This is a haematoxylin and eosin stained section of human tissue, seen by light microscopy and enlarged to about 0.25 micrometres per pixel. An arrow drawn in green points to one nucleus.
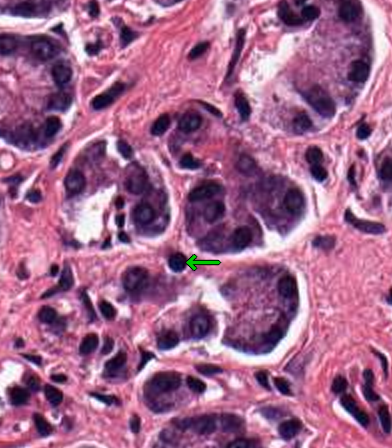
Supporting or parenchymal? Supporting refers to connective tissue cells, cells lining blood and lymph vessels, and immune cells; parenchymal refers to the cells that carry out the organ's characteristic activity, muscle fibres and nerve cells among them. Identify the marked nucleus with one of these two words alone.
supporting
